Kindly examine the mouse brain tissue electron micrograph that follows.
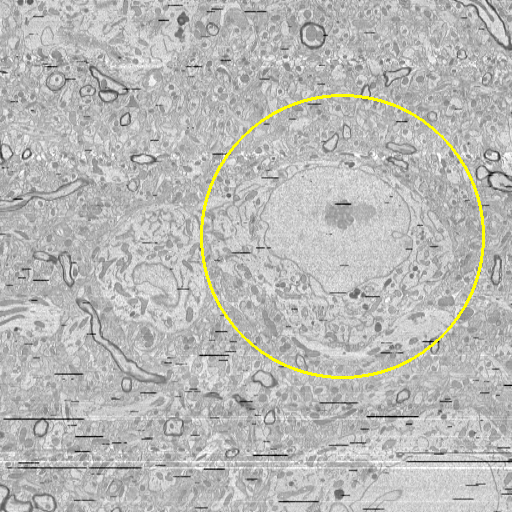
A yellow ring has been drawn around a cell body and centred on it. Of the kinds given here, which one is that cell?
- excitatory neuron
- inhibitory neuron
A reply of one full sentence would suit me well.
The micrograph's ringed cell, the one at the ring's centre, is an inhibitory neuron.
